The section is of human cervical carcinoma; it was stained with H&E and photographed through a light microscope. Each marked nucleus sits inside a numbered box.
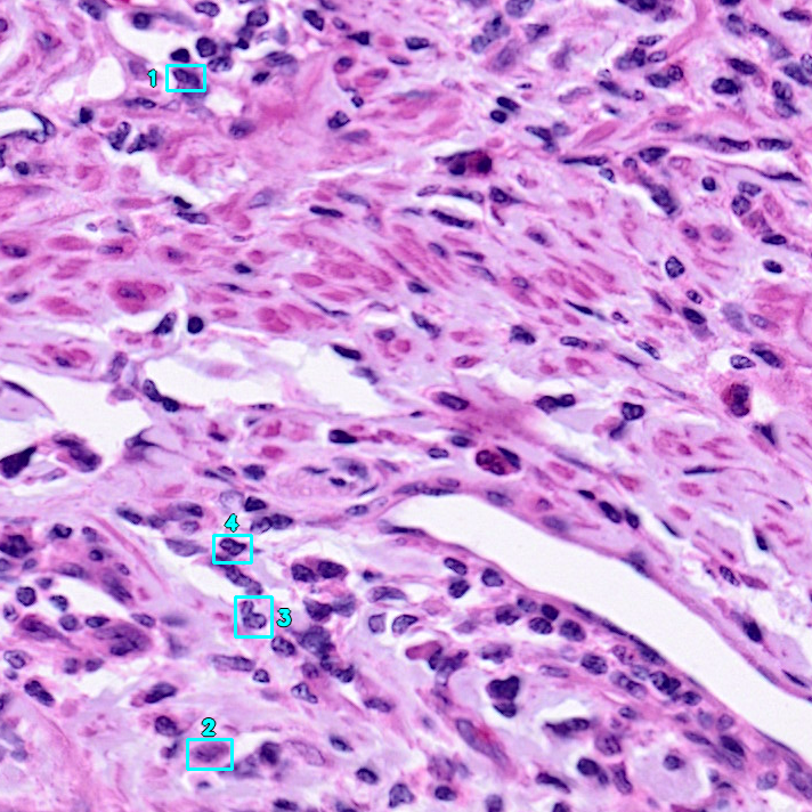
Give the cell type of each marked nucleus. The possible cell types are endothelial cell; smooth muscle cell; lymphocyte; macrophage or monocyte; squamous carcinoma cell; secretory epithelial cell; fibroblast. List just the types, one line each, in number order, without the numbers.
lymphocyte
macrophage or monocyte
lymphocyte
lymphocyte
